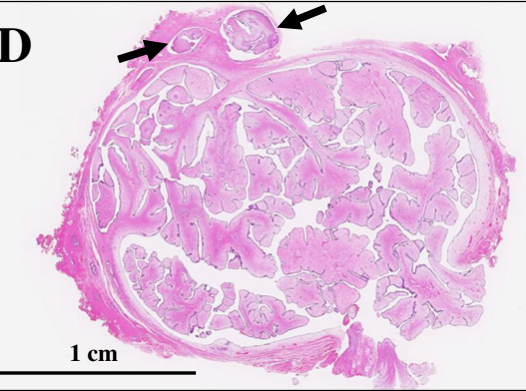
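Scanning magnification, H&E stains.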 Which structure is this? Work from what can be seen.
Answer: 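Multiple polypoid papillary lesions in an intracanalicular or leaf-like fashion. Many pink branching fronds fill a rounded mass. The fronds are separated by narrow white clefts, giving a leaf-like pattern.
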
